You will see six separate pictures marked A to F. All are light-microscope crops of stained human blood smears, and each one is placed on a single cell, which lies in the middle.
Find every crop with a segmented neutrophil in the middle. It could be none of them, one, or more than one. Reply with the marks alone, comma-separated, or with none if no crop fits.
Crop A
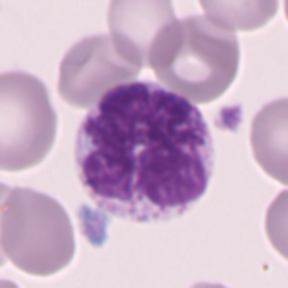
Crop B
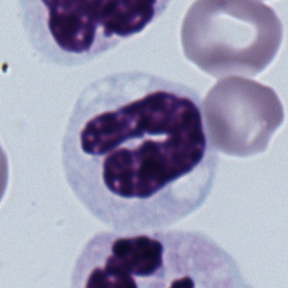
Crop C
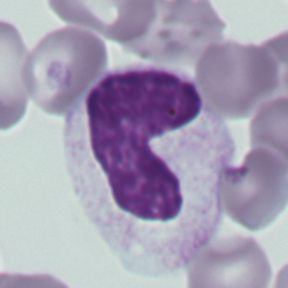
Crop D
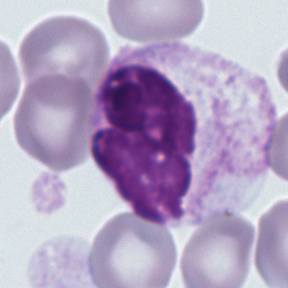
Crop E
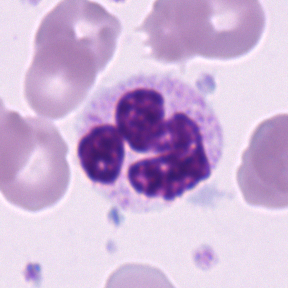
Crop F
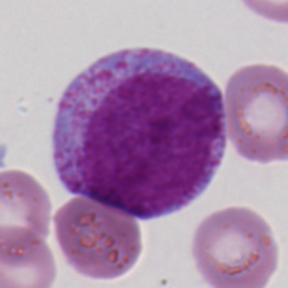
D, E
